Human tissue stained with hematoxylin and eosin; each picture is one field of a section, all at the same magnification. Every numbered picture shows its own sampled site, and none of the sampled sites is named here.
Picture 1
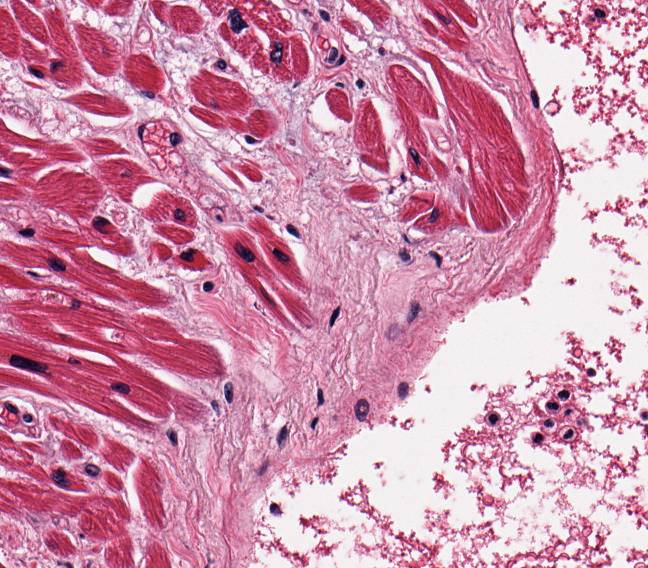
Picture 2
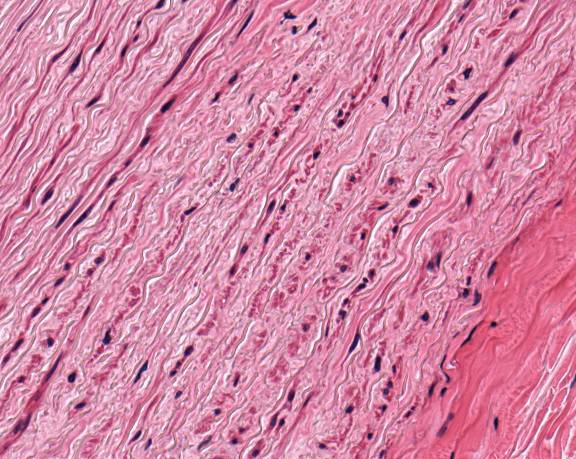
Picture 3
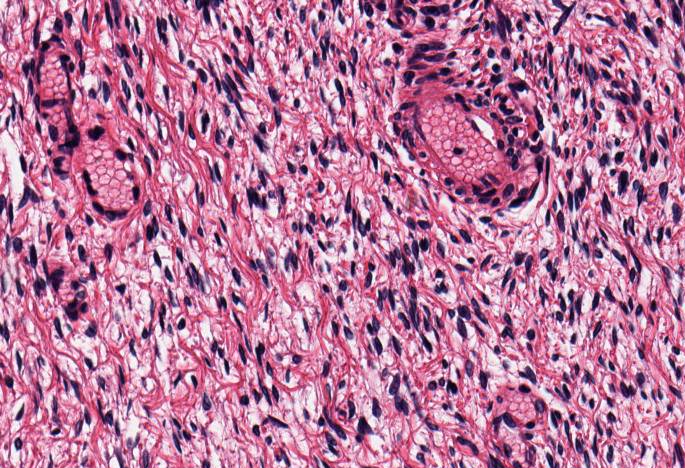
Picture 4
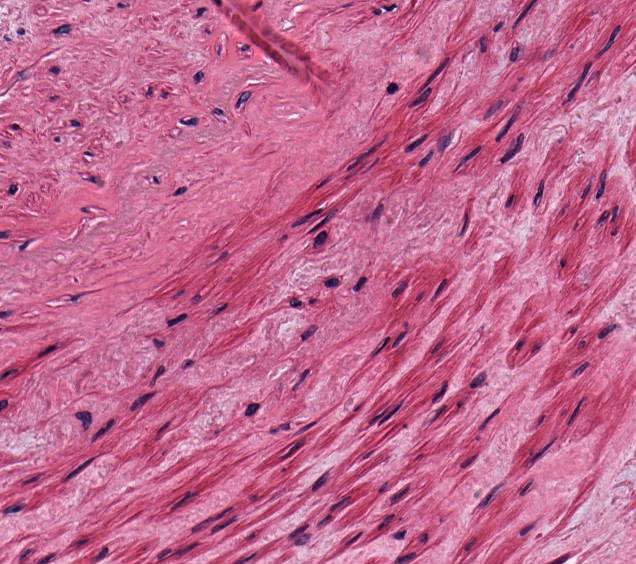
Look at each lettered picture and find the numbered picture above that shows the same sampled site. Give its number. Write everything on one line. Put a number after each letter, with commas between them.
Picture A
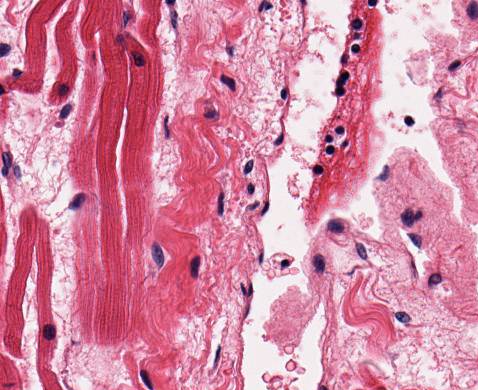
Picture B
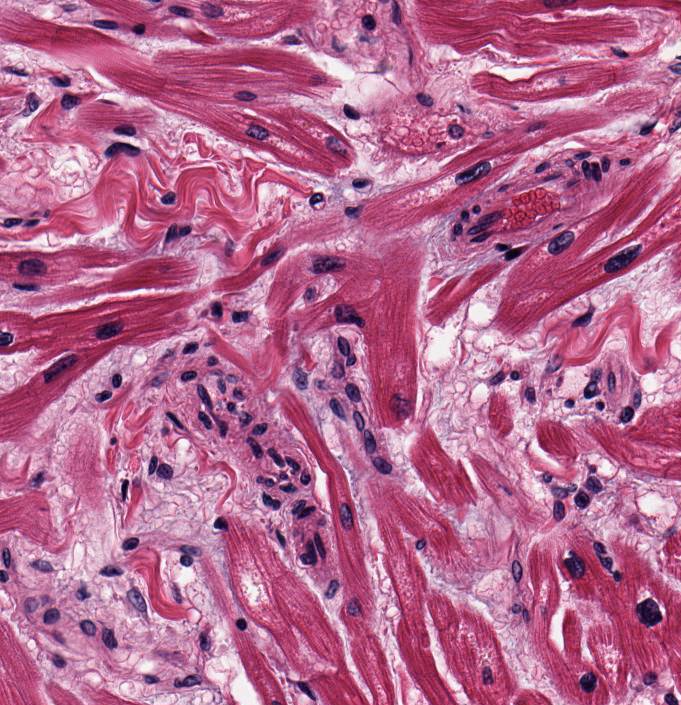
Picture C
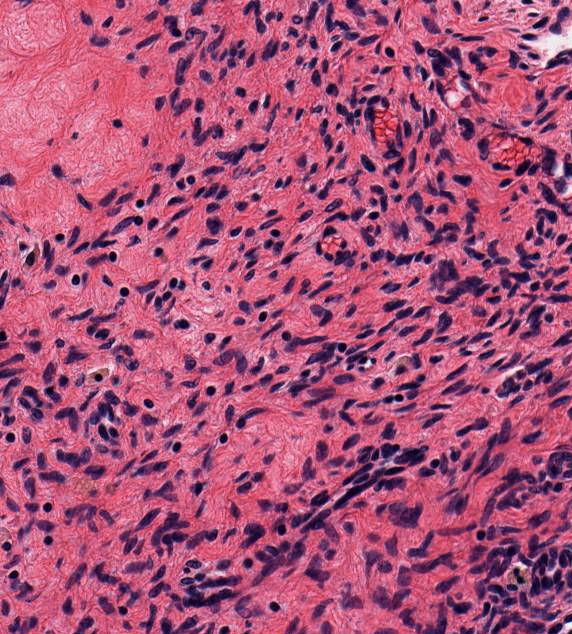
A 1, B 1, C 3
